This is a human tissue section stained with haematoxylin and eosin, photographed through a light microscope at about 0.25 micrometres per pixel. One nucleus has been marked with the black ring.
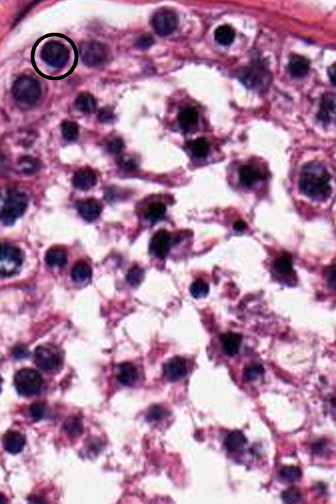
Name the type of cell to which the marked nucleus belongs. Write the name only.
spermatogonium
